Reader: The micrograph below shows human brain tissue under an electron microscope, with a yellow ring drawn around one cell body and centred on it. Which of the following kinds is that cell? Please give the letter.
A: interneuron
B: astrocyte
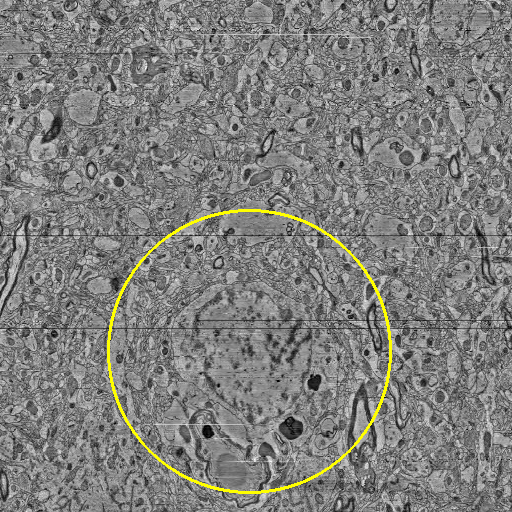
A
